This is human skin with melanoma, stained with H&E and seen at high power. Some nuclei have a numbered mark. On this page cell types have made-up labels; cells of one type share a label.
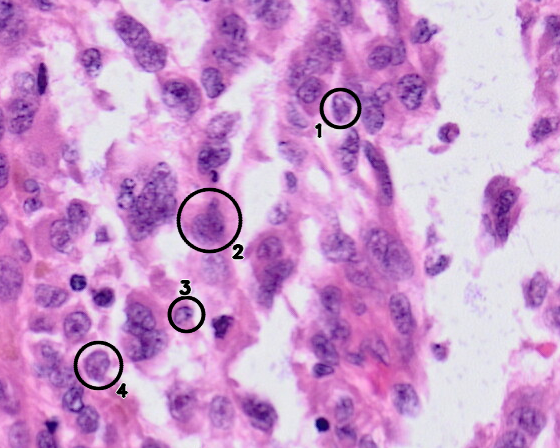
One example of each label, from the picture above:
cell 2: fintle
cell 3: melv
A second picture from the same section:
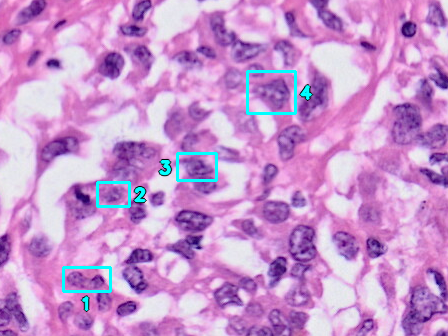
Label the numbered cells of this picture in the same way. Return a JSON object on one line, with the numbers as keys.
{"1": "melv", "2": "fintle", "3": "fintle", "4": "fintle"}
